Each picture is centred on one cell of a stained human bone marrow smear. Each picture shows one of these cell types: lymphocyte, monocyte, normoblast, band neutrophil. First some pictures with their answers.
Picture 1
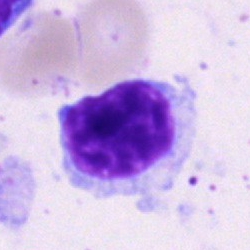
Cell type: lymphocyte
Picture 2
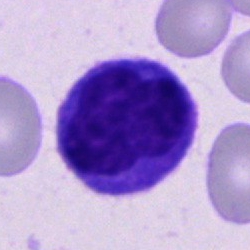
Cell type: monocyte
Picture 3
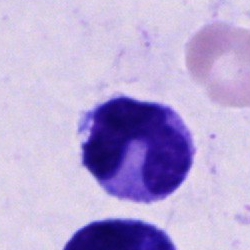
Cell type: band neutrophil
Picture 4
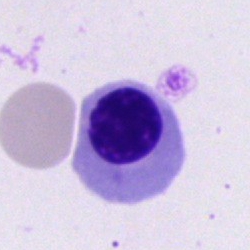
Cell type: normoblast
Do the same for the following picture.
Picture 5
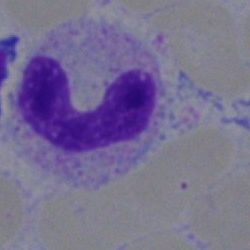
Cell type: band neutrophil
